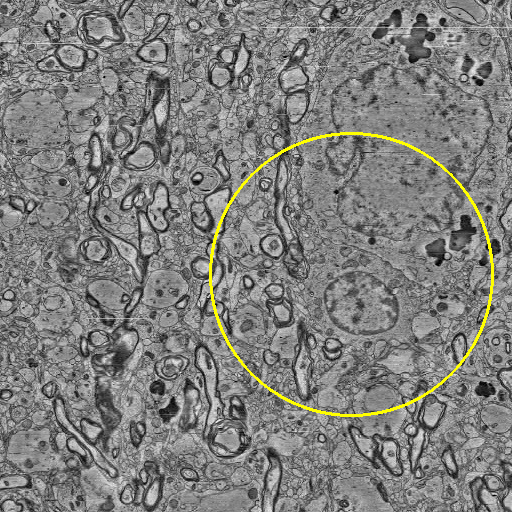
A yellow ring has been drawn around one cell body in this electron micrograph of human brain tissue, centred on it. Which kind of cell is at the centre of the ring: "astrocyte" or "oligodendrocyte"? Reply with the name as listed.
oligodendrocyte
